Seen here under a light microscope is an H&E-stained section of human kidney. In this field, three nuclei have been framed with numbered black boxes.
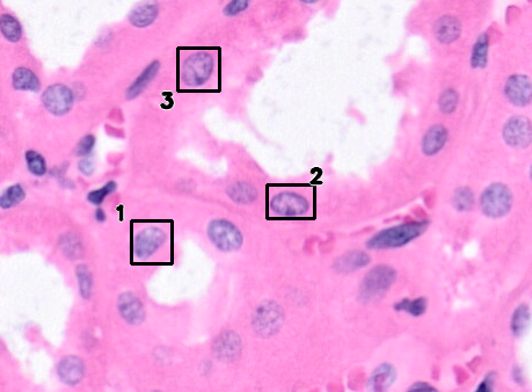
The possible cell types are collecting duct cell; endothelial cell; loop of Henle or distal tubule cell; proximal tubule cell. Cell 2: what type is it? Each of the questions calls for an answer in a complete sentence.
The marked nucleus 2 is that of a proximal tubule cell.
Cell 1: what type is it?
Heads up, the cell numbered 1 is a loop of Henle or distal tubule cell.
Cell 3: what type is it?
The expected answer is that cell 3 is a proximal tubule cell.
